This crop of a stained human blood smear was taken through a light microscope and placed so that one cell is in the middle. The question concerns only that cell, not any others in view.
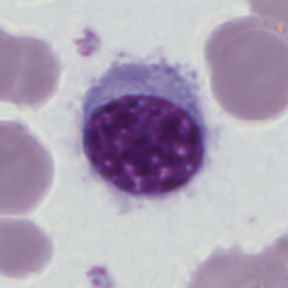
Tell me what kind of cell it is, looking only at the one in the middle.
plasma cell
